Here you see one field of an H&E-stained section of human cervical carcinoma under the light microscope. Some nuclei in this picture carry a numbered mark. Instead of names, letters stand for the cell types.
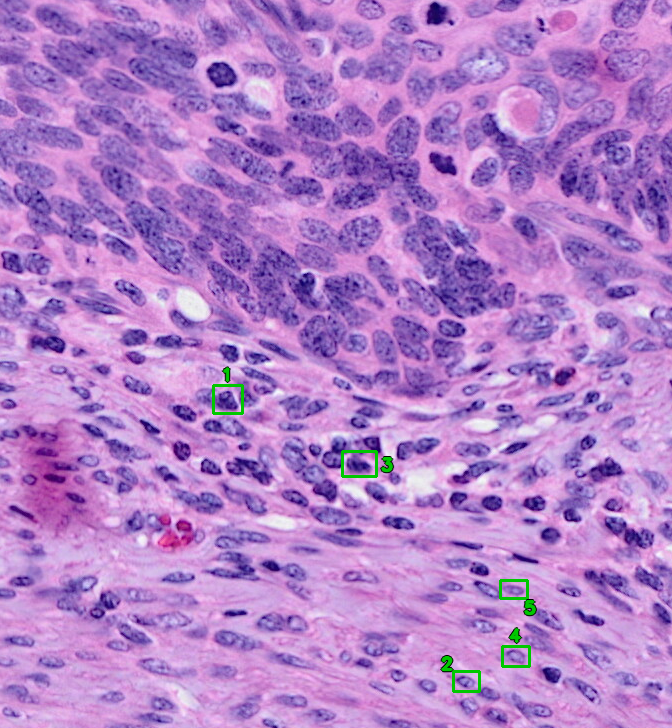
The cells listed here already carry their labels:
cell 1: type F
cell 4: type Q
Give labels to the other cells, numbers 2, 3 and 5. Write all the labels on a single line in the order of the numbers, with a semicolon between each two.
type Q; type F; type Q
